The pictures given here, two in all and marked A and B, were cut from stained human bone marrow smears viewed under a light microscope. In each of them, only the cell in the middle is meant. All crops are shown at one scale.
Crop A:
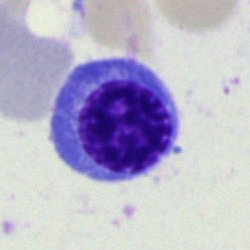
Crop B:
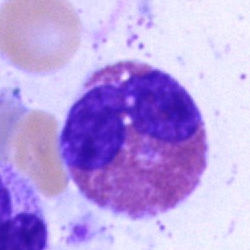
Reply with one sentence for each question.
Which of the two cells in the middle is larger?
Crop B holds the larger cell; it covers about 1.5 times the area of the cell in crop A.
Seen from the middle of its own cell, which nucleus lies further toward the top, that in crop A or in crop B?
It is the nucleus in crop B that lies further toward the top of its cell.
